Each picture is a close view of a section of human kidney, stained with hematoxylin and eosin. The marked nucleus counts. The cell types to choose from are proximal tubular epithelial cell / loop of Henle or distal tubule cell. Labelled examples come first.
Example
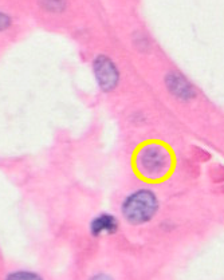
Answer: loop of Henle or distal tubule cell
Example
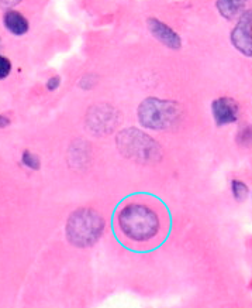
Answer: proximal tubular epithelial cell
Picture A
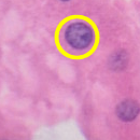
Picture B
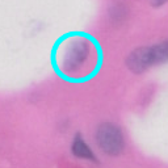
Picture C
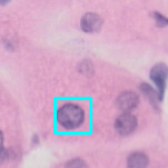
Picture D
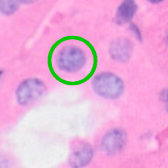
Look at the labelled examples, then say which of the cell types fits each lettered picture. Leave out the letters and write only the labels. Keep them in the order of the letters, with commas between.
proximal tubular epithelial cell, loop of Henle or distal tubule cell, proximal tubular epithelial cell, loop of Henle or distal tubule cell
